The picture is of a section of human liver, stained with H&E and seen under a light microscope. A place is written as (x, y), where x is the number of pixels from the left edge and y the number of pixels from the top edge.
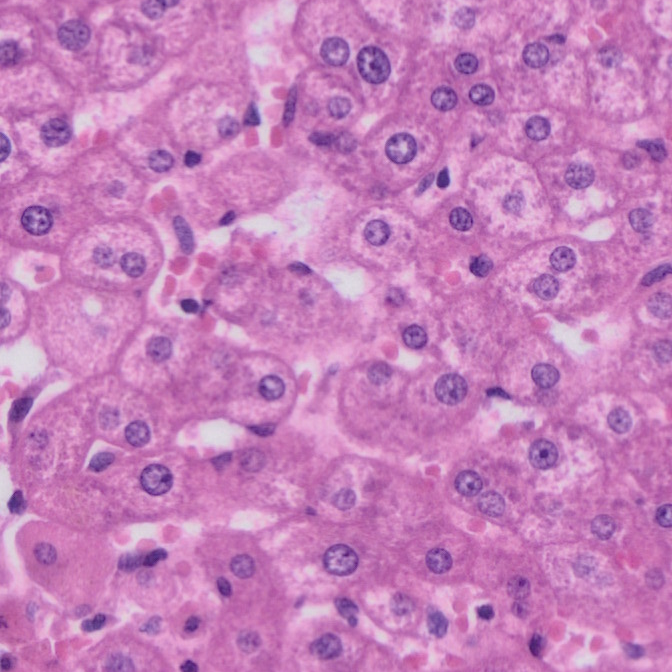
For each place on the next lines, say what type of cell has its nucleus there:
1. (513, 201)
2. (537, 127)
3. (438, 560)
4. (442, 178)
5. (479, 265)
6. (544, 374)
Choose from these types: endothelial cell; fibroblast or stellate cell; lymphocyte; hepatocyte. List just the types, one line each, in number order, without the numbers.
hepatocyte
hepatocyte
hepatocyte
lymphocyte
endothelial cell
hepatocyte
